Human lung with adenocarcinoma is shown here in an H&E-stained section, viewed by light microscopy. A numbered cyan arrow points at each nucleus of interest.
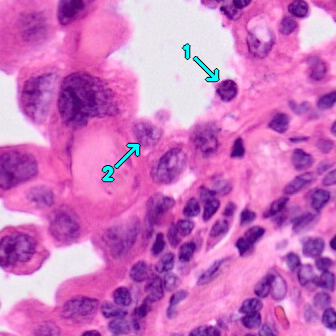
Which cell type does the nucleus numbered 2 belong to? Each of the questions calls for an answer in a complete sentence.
The numeral 2 marks a carcinoma cell in this section.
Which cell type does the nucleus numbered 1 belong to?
As for number 1, that cell is a lymphocyte.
